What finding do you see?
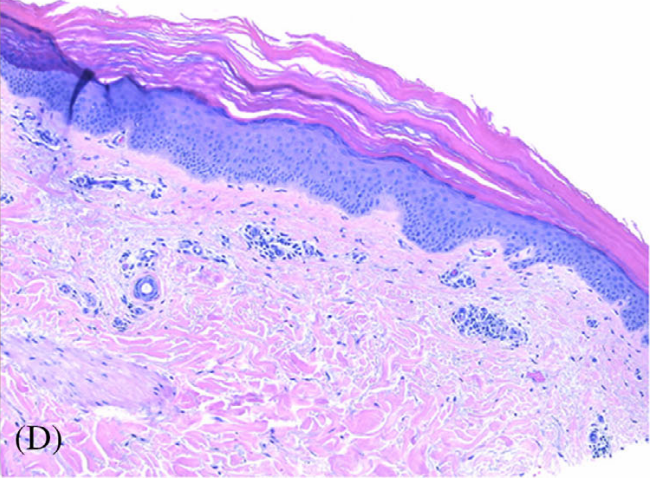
Hyperkeratosis.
